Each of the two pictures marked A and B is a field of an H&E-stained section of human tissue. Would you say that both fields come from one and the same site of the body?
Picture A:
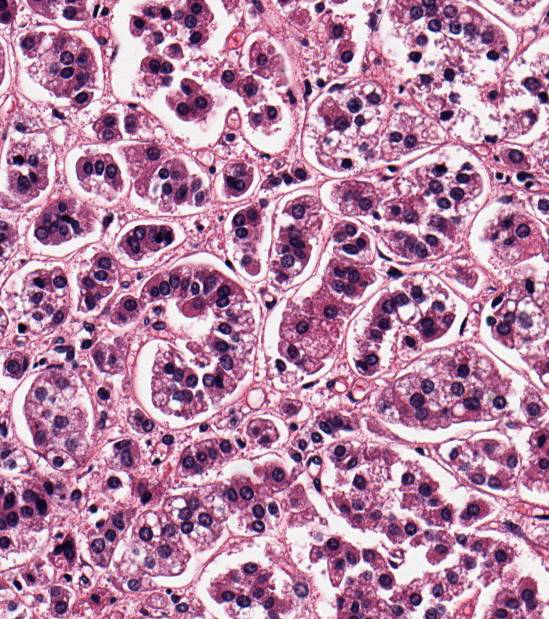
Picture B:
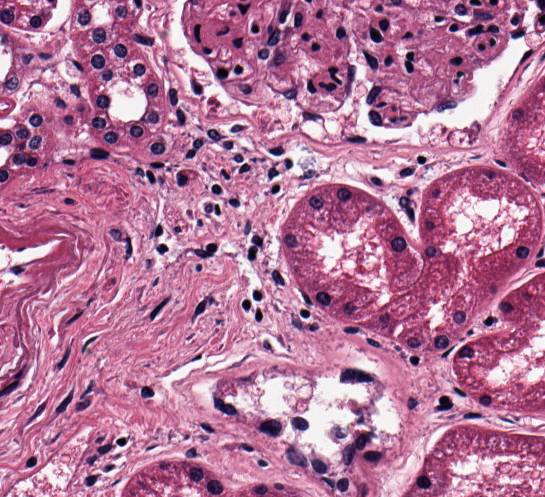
no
